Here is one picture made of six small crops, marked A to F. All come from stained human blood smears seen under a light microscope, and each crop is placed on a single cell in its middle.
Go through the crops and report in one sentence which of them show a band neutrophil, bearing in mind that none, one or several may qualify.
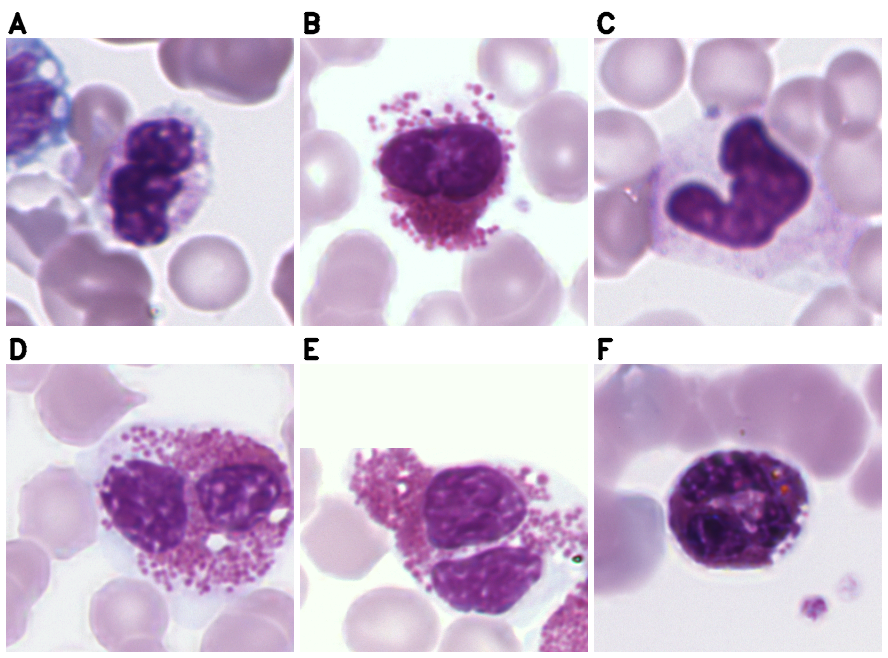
All of the crops lack a band neutrophil, without exception.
